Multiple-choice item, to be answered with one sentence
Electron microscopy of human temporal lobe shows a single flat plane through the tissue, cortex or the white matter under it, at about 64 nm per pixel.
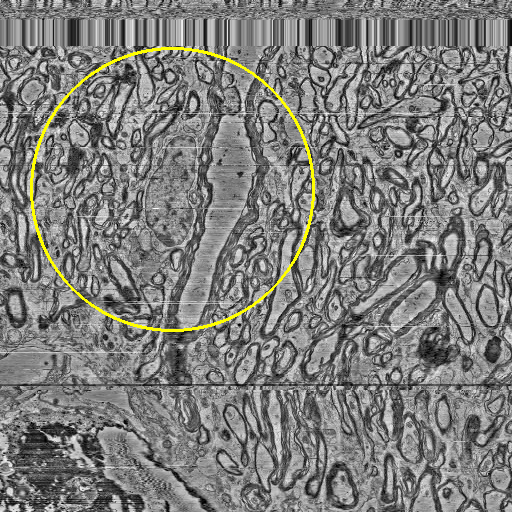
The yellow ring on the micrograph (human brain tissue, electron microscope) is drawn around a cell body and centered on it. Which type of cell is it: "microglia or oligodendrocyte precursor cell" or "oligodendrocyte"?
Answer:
The ring is centered on a microglial cell or oligodendrocyte precursor cell.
